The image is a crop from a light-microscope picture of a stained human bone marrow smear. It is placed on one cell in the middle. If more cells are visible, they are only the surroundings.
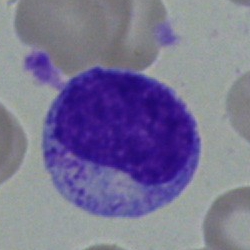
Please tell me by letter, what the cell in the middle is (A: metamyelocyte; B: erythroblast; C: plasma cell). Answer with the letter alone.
A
